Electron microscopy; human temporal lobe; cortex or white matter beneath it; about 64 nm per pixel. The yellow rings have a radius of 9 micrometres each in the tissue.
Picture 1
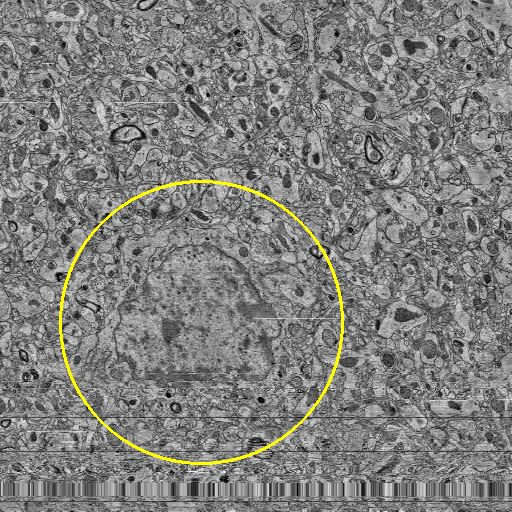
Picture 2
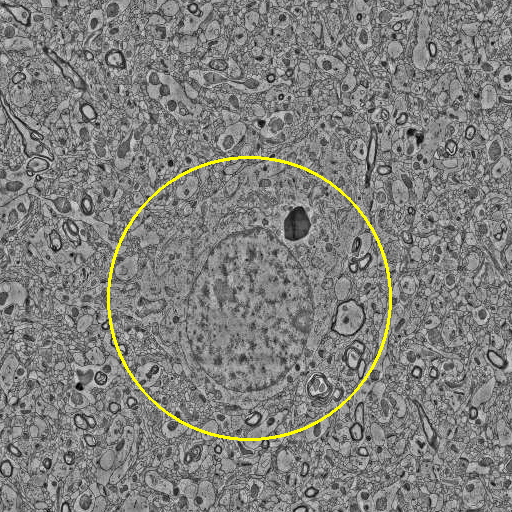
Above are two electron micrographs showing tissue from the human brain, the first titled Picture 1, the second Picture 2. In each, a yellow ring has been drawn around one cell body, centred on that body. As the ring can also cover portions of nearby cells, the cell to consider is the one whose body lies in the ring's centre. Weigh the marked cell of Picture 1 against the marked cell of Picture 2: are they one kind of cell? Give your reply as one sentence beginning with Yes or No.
Yes, the two cells sitting at the ring centres in the pictures are of one kind.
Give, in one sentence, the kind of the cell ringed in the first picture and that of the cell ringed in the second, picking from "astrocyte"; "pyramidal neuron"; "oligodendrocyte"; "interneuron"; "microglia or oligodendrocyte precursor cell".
Each of the two pictures has an interneuron at the ring centre.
